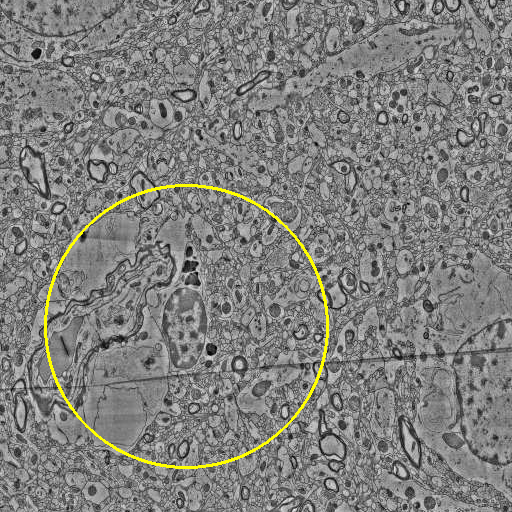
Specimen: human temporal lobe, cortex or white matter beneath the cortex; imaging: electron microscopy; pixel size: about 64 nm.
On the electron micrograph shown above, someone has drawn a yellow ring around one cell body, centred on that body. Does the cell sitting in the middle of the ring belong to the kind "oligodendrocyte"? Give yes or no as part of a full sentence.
No, the cell located in the middle of the ring in the micrograph is of a different kind.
